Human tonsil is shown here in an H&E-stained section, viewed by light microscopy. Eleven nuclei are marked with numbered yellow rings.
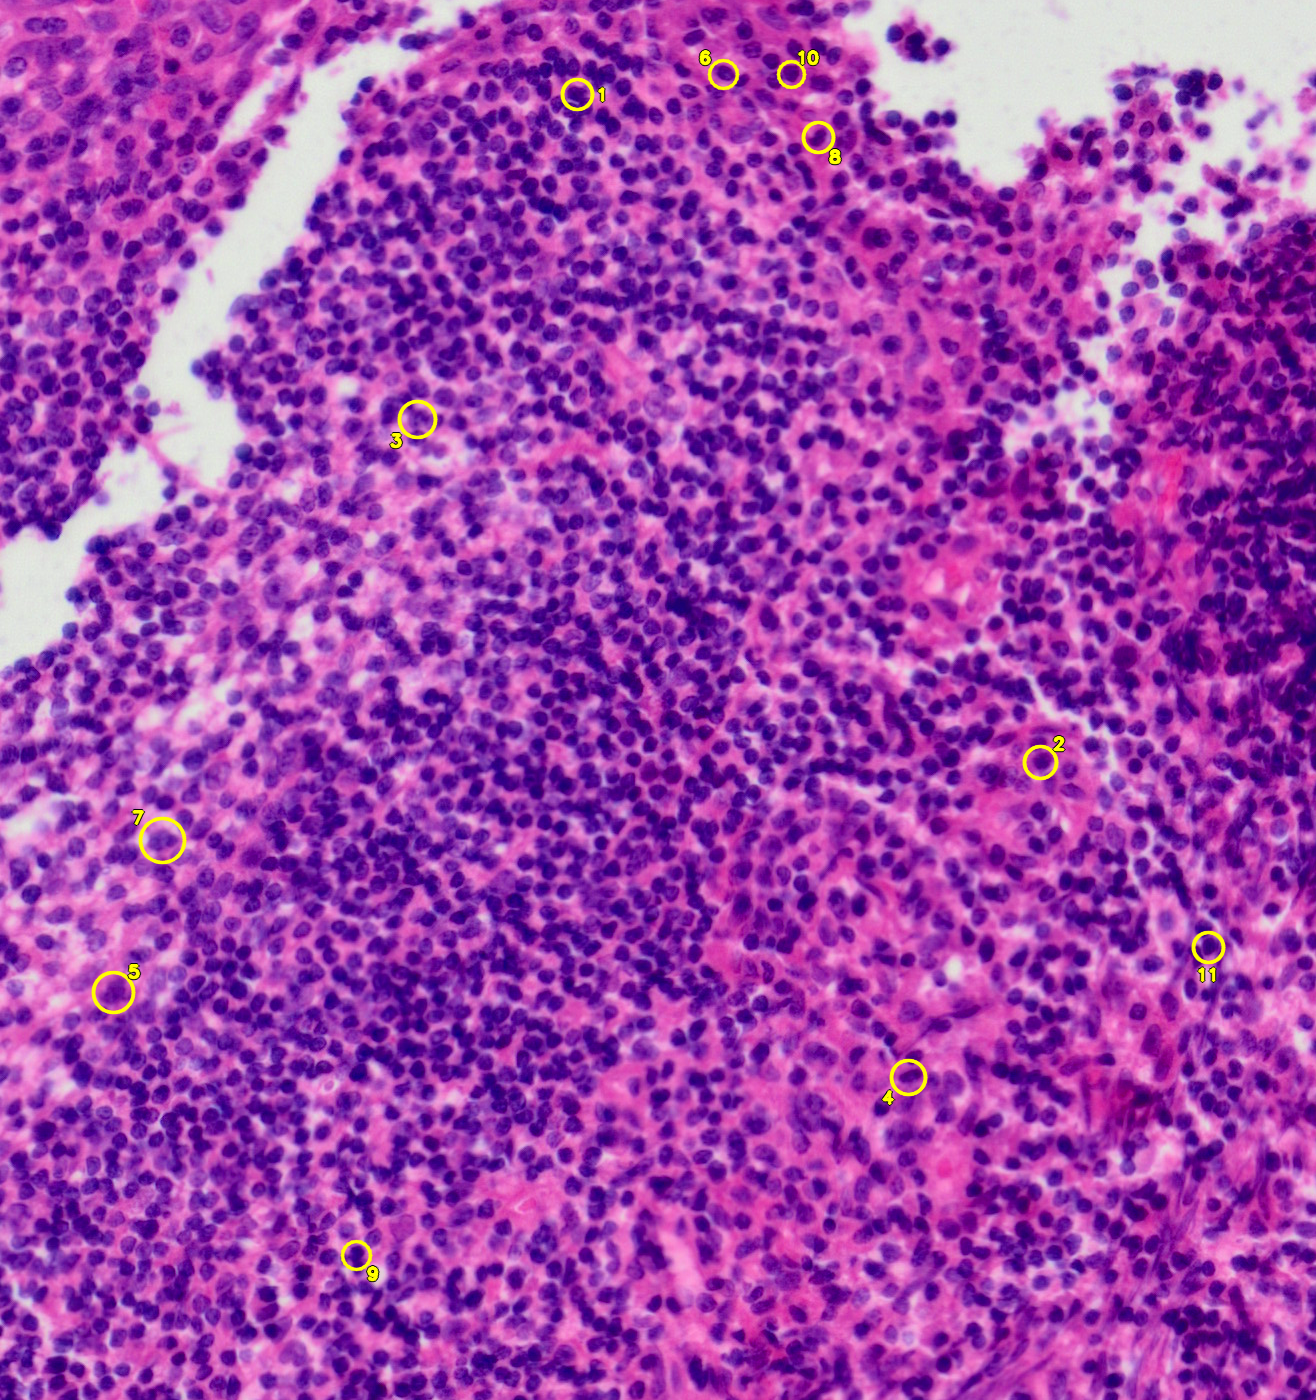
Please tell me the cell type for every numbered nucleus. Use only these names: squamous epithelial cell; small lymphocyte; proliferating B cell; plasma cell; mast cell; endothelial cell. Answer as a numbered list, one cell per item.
1. small lymphocyte
2. plasma cell
3. small lymphocyte
4. plasma cell
5. proliferating B cell
6. plasma cell
7. proliferating B cell
8. plasma cell
9. small lymphocyte
10. plasma cell
11. small lymphocyte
